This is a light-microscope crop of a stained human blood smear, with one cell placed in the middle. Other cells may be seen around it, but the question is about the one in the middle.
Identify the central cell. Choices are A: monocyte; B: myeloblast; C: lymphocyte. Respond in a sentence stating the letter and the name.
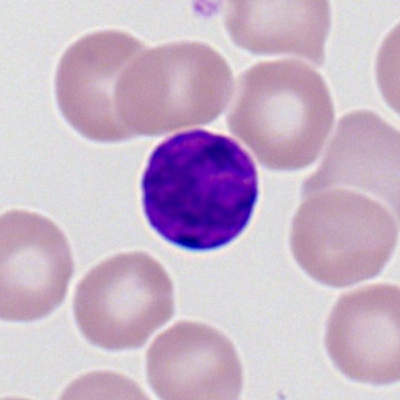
In the middle of the crop is a lymphocyte; option C is therefore correct.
